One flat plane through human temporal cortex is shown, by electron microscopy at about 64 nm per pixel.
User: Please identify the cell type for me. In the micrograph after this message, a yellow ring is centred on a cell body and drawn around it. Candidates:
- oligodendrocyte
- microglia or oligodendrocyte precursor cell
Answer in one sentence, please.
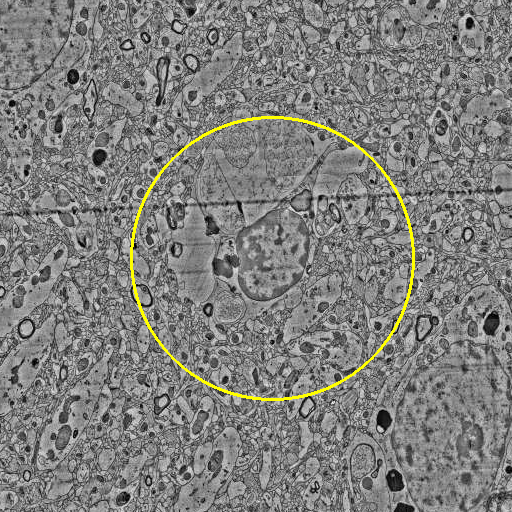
The ring is drawn around the cell body of a microglial cell or oligodendrocyte precursor cell.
